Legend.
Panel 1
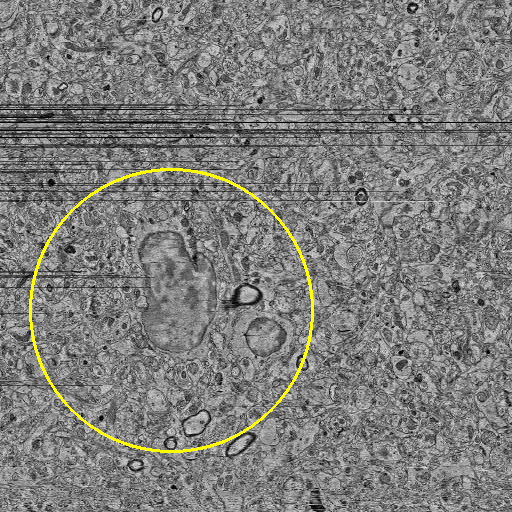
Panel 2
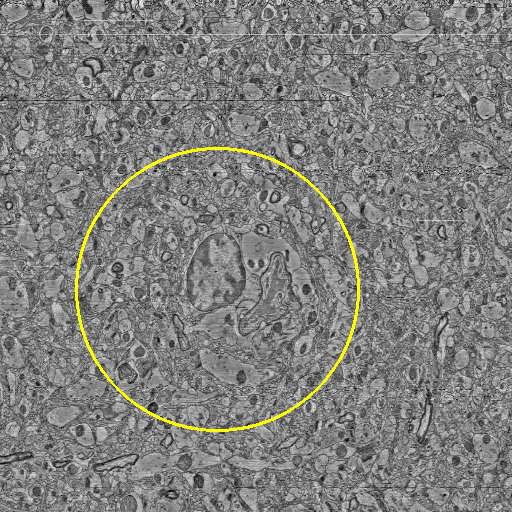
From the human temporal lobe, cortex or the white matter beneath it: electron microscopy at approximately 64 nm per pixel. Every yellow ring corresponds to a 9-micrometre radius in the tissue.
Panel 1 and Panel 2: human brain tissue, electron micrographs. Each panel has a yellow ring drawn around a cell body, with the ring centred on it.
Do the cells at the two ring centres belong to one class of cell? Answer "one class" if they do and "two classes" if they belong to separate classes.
two classes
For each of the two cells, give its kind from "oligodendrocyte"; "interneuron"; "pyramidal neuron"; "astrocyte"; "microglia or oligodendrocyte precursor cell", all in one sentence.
The first picture has an oligodendrocyte in its ring, the second has a microglial cell or oligodendrocyte precursor cell.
